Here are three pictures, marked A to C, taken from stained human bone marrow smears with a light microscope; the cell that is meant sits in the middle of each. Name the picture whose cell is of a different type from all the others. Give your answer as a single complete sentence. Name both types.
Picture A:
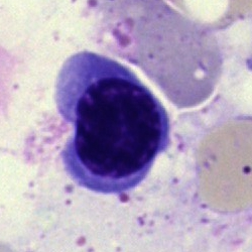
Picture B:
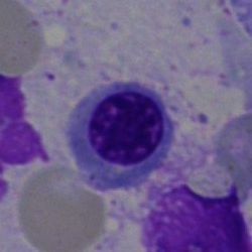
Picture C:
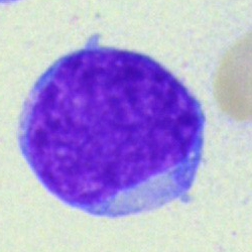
Unlike the rest, which show erythroblasts, picture C shows a blast.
